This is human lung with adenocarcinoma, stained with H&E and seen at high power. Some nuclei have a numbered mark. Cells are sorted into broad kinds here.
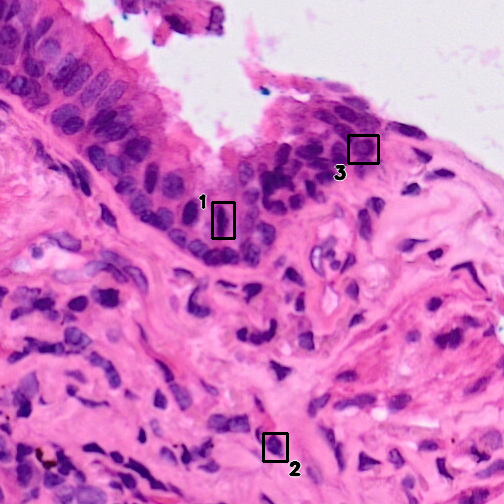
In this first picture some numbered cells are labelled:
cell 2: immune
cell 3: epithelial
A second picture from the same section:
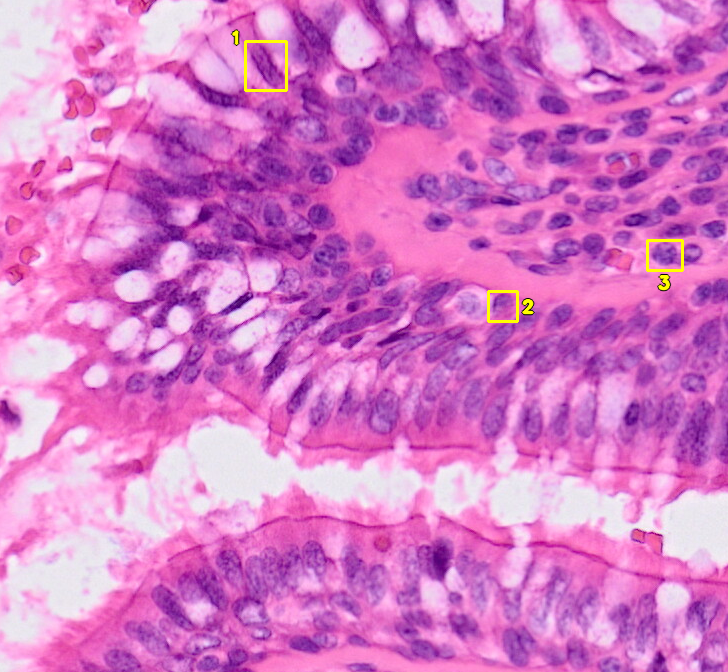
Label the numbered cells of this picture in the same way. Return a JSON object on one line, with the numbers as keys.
{"1": "epithelial", "2": "epithelial", "3": "immune"}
